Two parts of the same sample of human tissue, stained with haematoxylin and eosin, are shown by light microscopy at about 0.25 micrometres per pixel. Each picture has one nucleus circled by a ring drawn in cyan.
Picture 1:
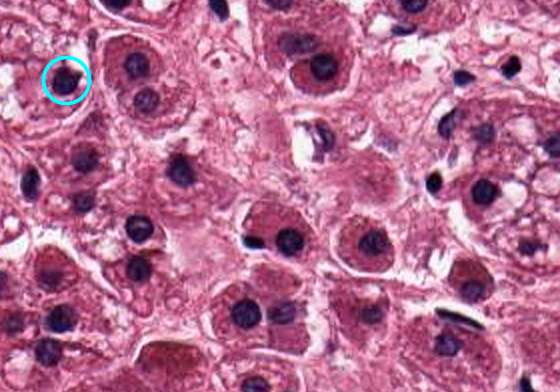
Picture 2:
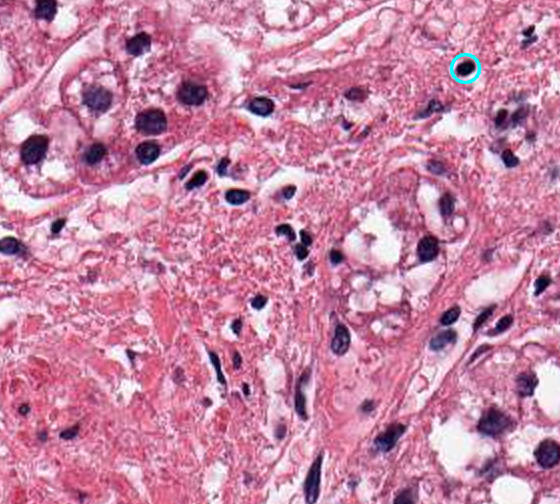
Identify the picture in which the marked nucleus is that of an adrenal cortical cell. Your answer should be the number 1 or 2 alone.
1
